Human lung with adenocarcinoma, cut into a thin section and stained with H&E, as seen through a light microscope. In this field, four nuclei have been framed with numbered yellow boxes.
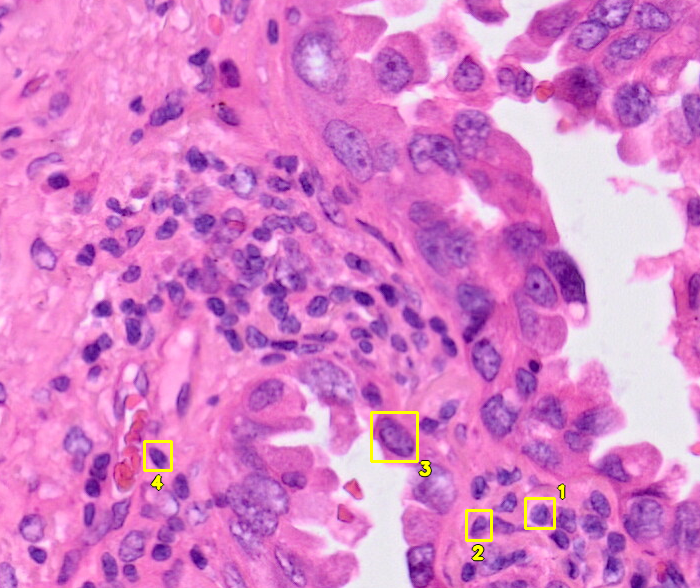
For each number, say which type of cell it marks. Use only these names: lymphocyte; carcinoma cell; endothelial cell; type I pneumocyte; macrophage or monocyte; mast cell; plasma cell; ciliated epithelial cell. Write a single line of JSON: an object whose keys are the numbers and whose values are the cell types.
{"1": "lymphocyte", "2": "lymphocyte", "3": "carcinoma cell", "4": "lymphocyte"}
